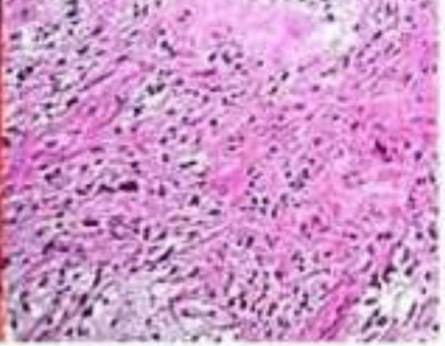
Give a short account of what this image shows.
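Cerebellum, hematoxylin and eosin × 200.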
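Glial tumour tissue made of elongated spindle-shaped tumour cells set in a pink fibrillary background. The nuclei are oval to elongated and dark purple, and are scattered at moderate density without a regular pattern. Pale eosinophilic hair-like processes run in streaming bundles between the nuclei. In places the processes form denser, more homogeneous pink areas.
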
